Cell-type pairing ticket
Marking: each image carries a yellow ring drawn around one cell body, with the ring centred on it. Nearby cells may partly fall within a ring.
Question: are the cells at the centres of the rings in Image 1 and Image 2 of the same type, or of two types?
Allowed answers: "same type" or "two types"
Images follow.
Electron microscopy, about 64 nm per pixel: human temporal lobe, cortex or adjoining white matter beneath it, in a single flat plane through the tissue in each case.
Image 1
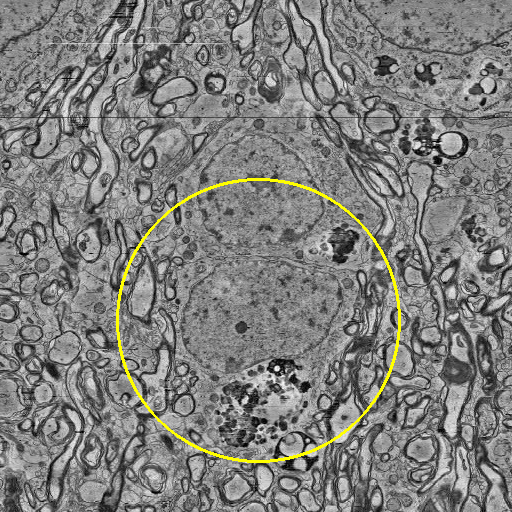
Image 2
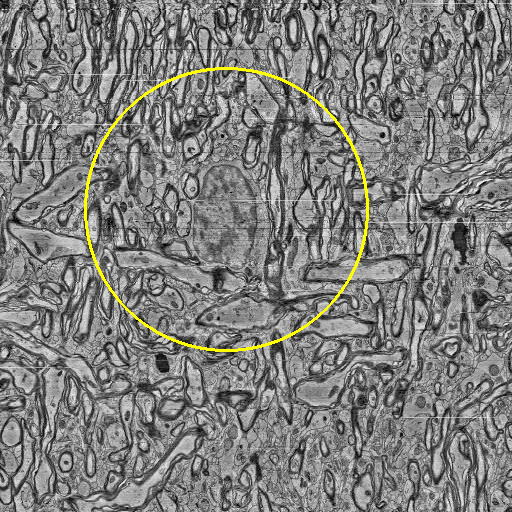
two types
